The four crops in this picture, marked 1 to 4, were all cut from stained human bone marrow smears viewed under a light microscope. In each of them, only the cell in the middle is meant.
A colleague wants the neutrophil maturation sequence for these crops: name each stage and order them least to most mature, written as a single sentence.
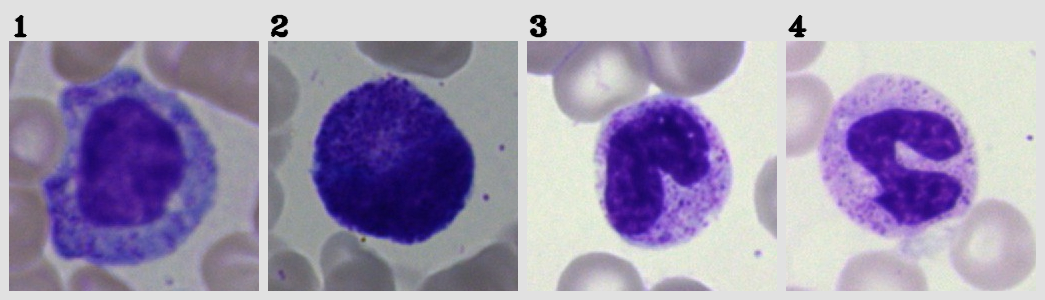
Ordered by maturity, from least to most, the crops are crop 2 (a promyelocyte), crop 1 (a myelocyte), crop 3 (a band neutrophil) and crop 4 (a segmented neutrophil).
